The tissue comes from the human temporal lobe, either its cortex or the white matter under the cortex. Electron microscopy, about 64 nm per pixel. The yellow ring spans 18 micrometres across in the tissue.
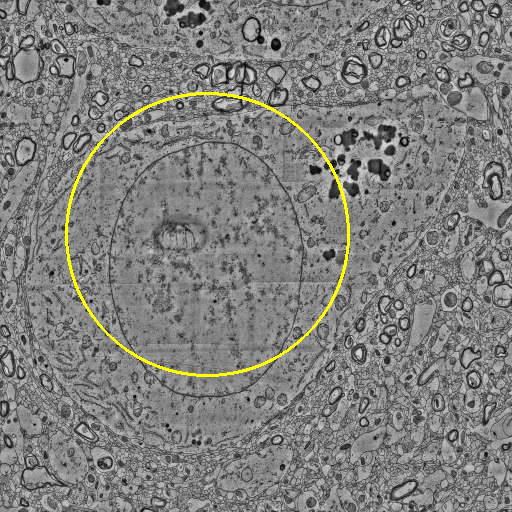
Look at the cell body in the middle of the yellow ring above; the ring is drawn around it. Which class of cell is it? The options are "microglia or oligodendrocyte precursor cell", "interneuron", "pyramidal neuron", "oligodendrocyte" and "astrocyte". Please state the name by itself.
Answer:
pyramidal neuron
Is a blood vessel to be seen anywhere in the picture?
No, no blood vessel can be seen.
